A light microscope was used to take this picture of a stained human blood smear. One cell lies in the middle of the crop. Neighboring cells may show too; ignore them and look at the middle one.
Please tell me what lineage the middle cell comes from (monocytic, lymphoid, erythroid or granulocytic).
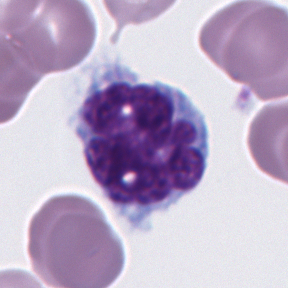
monocytic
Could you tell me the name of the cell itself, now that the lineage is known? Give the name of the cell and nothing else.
monocyte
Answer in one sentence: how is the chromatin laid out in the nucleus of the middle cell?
Thanks for asking; the chromatin is coarsely clumped.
